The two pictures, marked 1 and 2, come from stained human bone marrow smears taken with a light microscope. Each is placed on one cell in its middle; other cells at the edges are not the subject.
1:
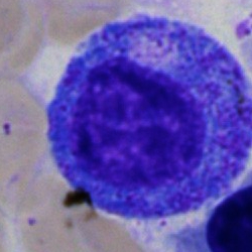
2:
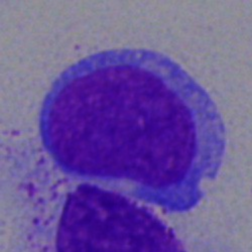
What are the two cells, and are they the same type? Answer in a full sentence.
Yes, in the middle of both crops, promyelocytes are shown.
